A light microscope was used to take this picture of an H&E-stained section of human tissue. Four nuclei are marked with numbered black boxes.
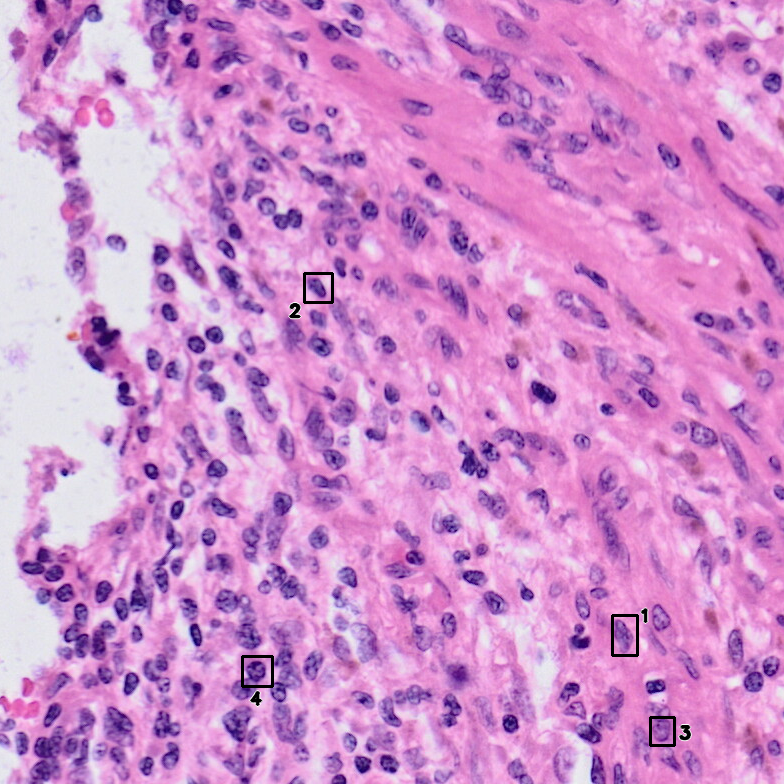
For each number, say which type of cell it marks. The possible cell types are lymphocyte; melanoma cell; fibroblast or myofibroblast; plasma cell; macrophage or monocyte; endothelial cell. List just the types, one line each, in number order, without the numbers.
macrophage or monocyte
lymphocyte
endothelial cell
plasma cell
